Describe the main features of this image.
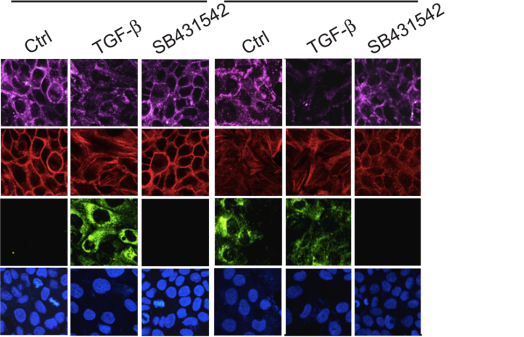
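These are epithelial cells in colonies, shown as a grid of fluorescence images with one colour per row. The magenta traces the borders between neighbouring polygonal cells, crisp in some columns and patchy or faint in others. The red forms fine rings at the cell edges in the tidy colonies, while in other columns it spreads as bundles of fibres across larger, flatter cells. The green is absent from some columns but fills the cytoplasm of many cells in others with a bright, granular to reticular pattern. The blue nuclei are oval and sit centrally, one per cell.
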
